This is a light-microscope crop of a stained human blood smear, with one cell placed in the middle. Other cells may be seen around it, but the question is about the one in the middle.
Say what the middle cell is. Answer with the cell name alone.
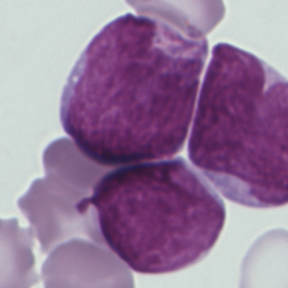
myeloblast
